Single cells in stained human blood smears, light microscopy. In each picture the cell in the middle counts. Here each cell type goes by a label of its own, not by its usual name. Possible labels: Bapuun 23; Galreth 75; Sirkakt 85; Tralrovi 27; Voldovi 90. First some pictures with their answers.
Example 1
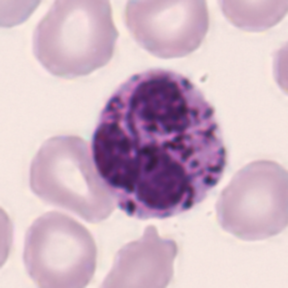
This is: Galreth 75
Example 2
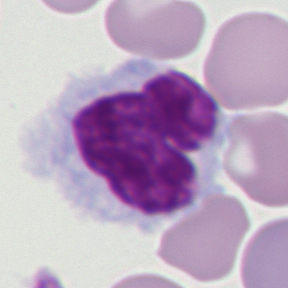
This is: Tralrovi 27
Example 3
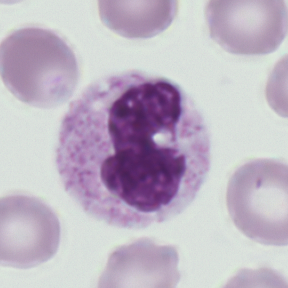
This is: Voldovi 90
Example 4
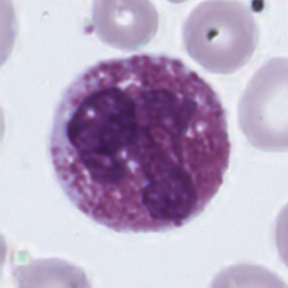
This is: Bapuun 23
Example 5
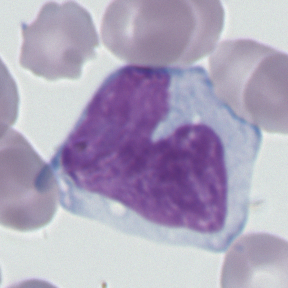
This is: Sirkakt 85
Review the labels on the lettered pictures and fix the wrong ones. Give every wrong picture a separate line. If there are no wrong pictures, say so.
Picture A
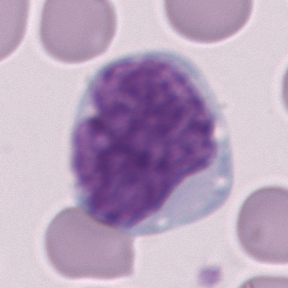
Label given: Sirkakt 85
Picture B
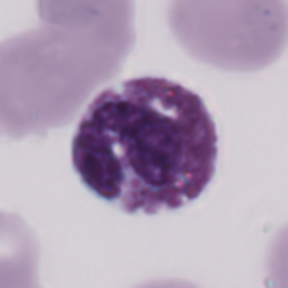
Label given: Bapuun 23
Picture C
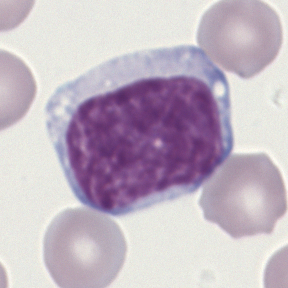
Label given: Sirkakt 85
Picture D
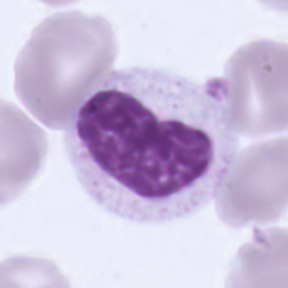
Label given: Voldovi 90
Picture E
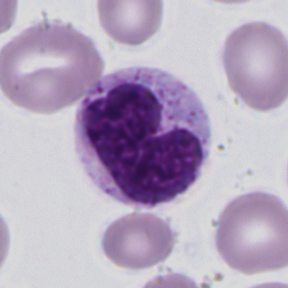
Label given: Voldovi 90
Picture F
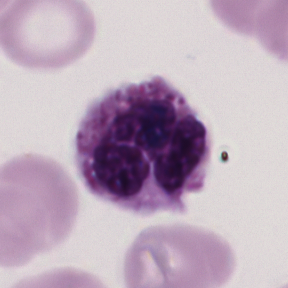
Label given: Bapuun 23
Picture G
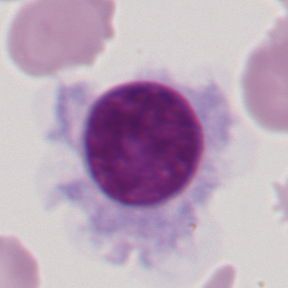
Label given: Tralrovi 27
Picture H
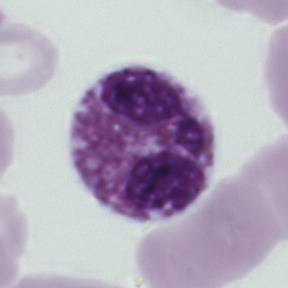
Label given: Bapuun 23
All labels are correct.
